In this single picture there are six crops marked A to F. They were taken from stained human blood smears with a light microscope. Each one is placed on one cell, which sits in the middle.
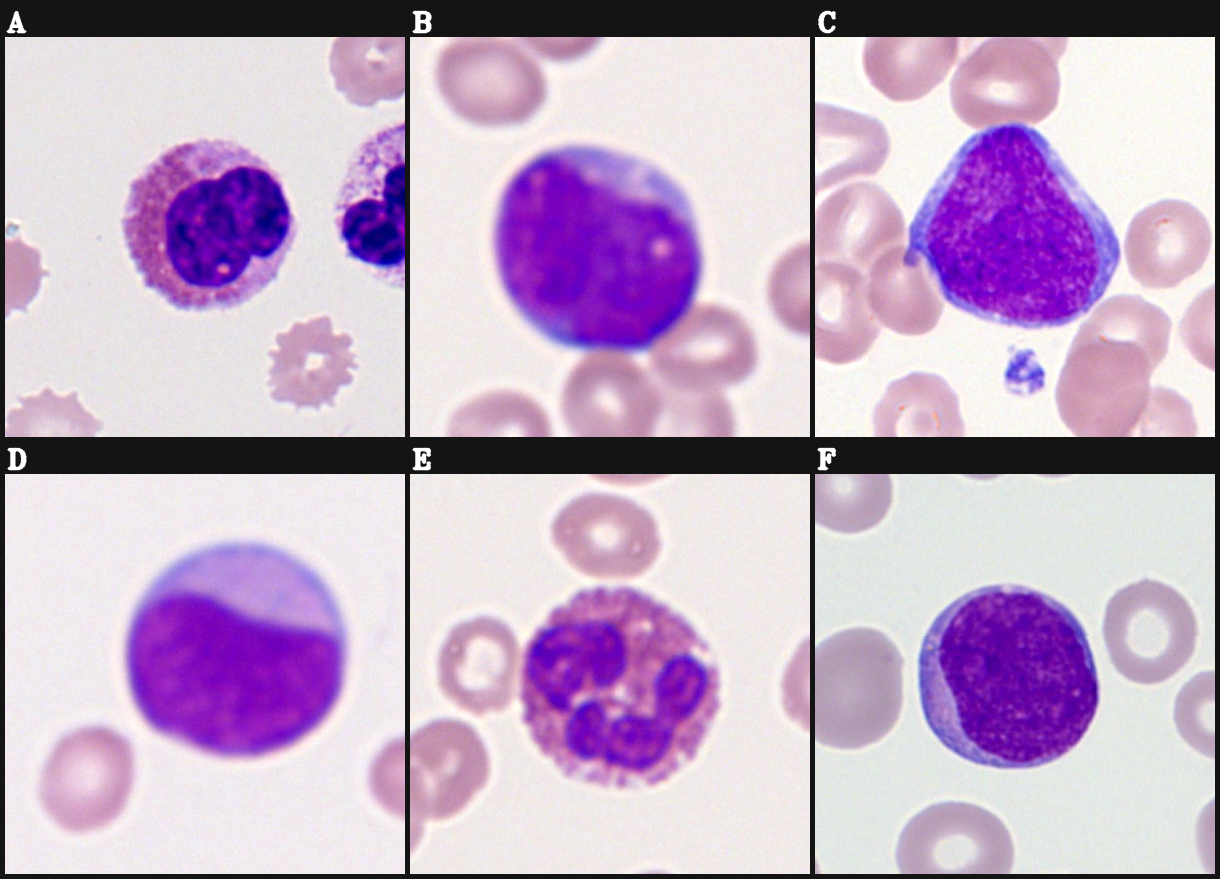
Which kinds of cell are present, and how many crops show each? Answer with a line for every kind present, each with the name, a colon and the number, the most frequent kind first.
myeloblast: 4
eosinophil: 2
